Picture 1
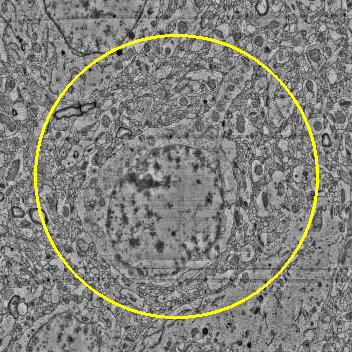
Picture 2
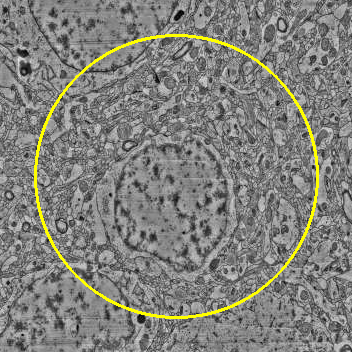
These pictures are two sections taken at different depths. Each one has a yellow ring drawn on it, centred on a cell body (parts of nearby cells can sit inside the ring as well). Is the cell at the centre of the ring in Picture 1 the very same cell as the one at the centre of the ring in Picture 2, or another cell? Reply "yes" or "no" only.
yes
